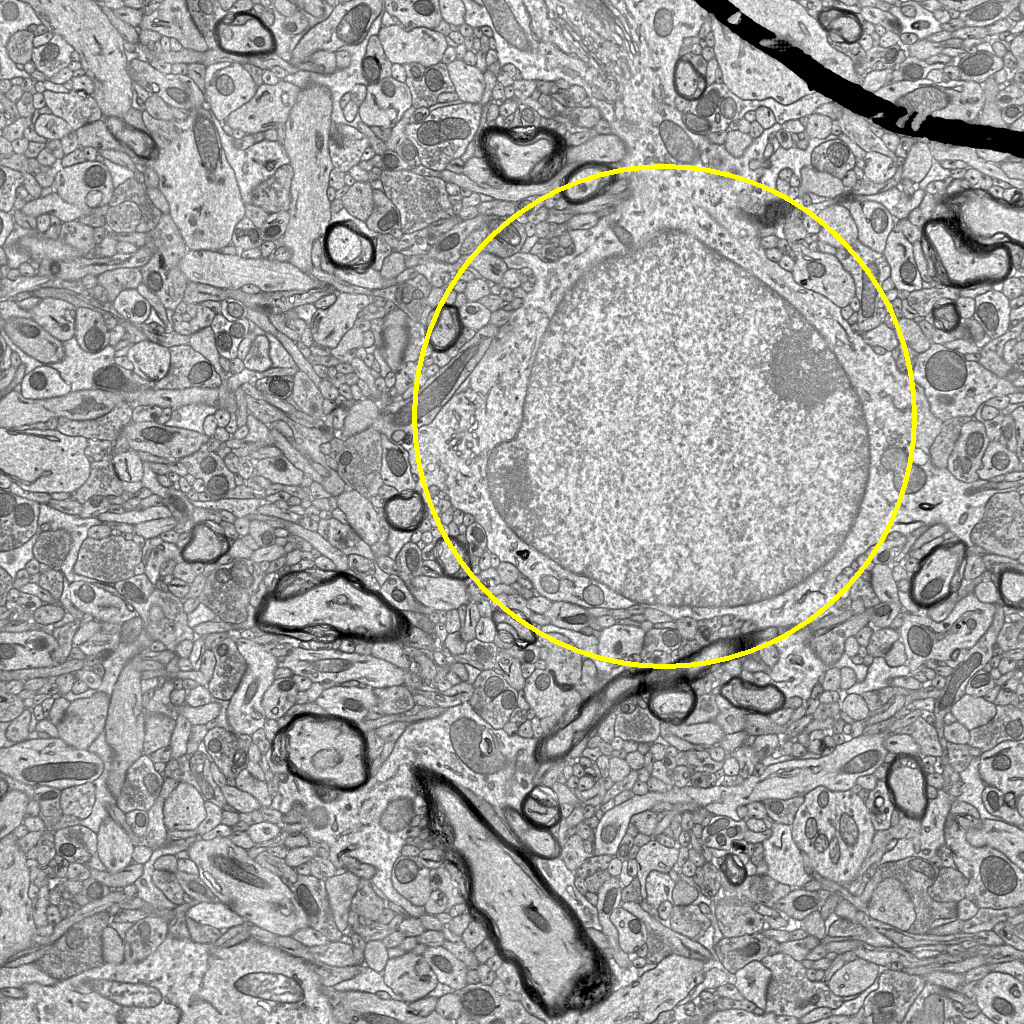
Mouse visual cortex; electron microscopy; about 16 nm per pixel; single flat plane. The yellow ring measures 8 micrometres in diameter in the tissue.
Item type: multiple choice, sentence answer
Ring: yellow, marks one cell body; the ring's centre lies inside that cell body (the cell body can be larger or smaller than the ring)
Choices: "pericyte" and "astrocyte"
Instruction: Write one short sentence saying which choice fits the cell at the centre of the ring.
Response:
The centre of this ring lies on an astrocyte.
